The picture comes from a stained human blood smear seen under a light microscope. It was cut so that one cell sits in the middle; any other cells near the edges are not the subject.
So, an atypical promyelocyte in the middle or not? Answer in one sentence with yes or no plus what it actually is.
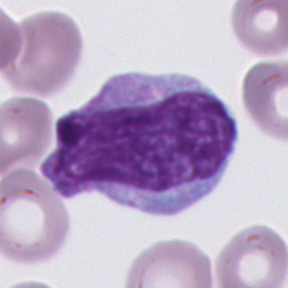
Yes, the cell of interest in the middle is an atypical promyelocyte.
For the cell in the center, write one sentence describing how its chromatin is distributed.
The chromatin shows a fine pattern without coarse clumps.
